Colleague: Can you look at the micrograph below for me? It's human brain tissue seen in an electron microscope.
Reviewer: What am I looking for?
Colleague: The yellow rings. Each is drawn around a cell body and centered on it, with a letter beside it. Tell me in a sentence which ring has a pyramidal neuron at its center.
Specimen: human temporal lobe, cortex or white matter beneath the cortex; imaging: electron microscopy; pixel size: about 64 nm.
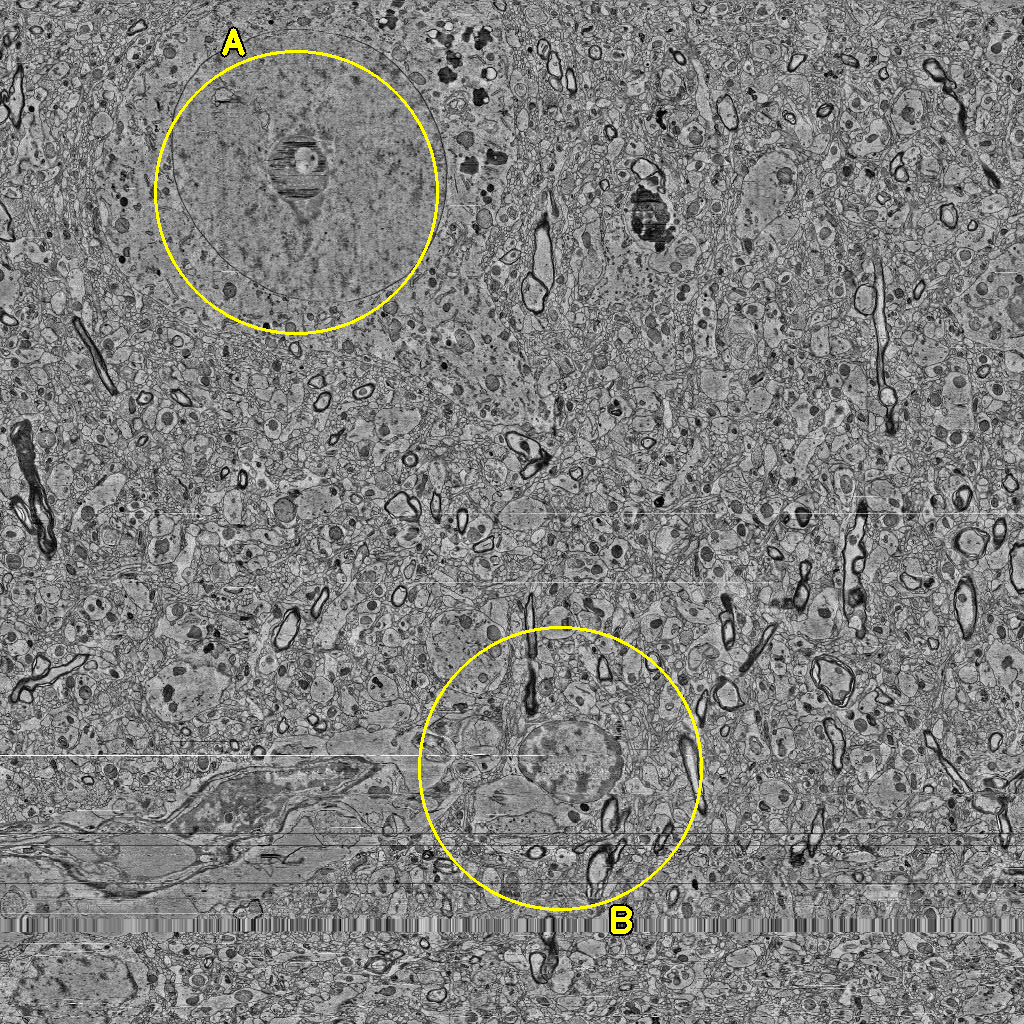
It's the cell in ring A.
